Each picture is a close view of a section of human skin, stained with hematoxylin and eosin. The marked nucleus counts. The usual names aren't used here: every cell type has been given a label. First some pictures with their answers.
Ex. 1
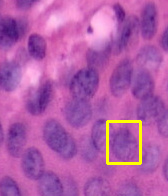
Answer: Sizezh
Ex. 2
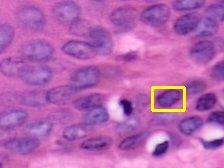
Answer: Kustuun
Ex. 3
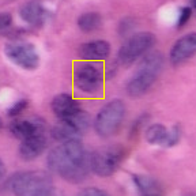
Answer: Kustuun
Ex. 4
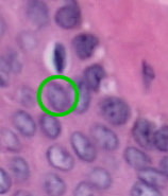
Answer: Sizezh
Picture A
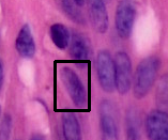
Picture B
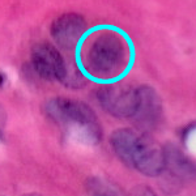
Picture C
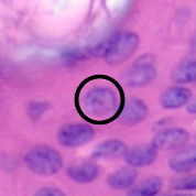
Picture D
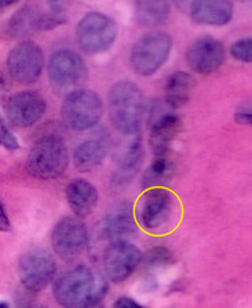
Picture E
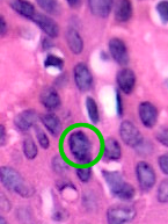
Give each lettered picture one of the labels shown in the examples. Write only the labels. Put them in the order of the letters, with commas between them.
Kustuun, Kustuun, Sizezh, Kustuun, Kustuun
